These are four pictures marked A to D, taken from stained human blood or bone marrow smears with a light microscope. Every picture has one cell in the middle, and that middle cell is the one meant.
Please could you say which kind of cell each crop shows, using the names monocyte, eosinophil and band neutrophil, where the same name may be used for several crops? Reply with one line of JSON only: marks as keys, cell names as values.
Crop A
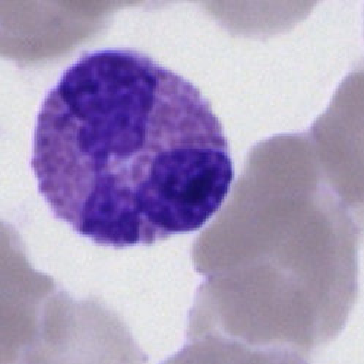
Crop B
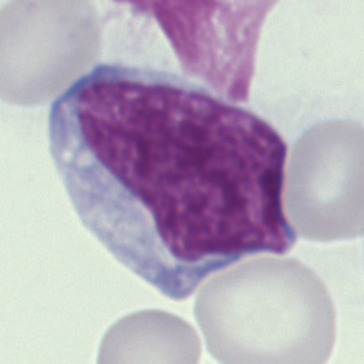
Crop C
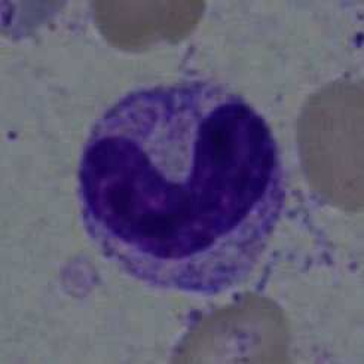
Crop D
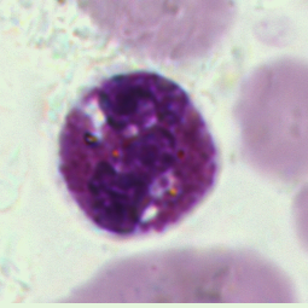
{"A": "eosinophil", "B": "monocyte", "C": "band neutrophil", "D": "eosinophil"}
